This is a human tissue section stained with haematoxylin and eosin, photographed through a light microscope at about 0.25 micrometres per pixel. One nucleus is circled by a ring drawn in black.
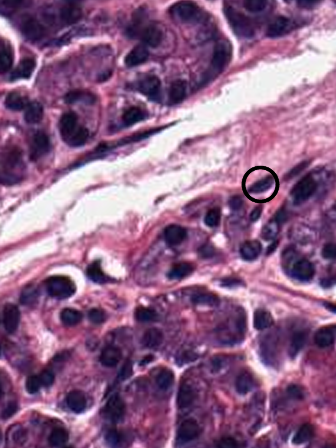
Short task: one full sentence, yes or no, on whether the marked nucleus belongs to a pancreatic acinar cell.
No, it is not a pancreatic acinar cell that owns the marked nucleus but a supporting cell.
